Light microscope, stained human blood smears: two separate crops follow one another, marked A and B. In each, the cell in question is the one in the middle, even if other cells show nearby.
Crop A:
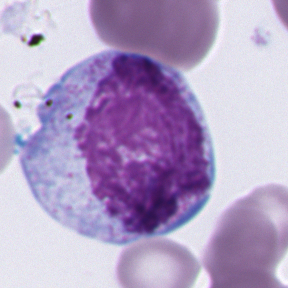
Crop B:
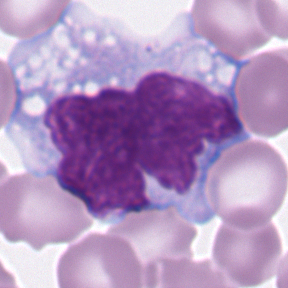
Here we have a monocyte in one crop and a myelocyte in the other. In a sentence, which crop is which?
Crop B is a monocyte, while crop A is a myelocyte.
